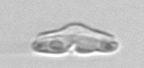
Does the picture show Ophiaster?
No, it shows Karenia papilionacea.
